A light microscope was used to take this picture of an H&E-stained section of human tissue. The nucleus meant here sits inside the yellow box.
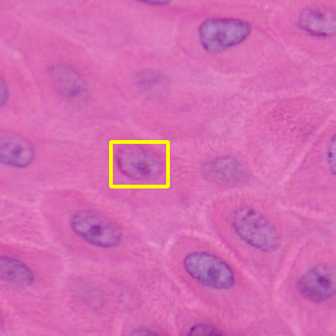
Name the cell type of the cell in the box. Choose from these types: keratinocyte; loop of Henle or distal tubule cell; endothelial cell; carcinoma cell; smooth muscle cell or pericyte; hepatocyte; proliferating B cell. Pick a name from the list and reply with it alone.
keratinocyte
